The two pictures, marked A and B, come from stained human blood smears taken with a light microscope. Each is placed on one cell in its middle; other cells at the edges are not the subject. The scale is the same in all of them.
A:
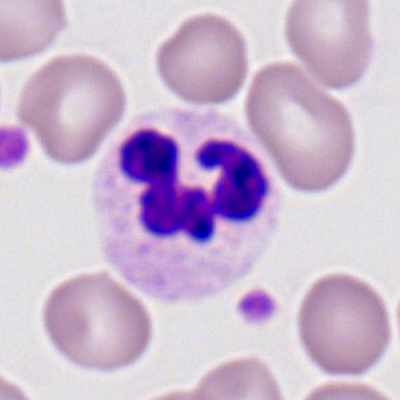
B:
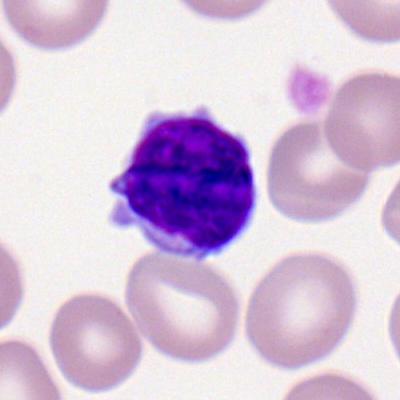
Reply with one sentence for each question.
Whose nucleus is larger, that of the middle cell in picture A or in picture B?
It is the nucleus in picture B, about 1.5 times as large in area as the one in picture A.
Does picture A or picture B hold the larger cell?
The cell in picture A is larger, with about 1.5 times the area of the one in picture B.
